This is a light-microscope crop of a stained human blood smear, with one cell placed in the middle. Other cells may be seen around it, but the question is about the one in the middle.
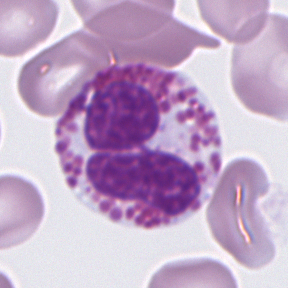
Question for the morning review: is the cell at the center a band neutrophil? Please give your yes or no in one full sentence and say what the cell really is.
No, what lies at the heart of the crop is an eosinophil, not a band neutrophil.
